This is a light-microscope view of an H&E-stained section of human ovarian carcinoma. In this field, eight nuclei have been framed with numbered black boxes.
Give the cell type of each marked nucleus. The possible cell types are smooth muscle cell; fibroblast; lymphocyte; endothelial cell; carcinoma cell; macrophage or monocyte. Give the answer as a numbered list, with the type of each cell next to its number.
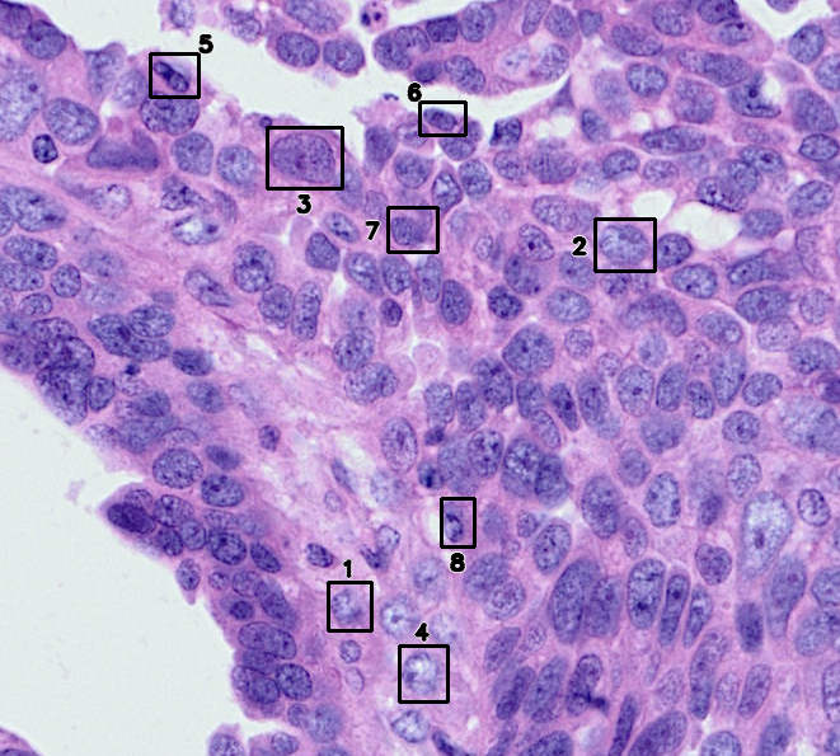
1. fibroblast
2. carcinoma cell
3. carcinoma cell
4. fibroblast
5. macrophage or monocyte
6. carcinoma cell
7. carcinoma cell
8. macrophage or monocyte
